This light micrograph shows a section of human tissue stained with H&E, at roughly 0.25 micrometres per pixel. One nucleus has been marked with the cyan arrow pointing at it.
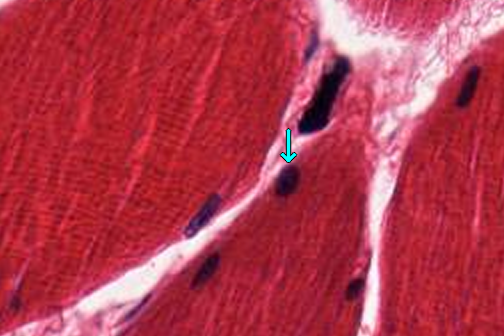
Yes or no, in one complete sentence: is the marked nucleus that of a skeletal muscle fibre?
Yes, a skeletal muscle fibre is the cell that the marked nucleus belongs to.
